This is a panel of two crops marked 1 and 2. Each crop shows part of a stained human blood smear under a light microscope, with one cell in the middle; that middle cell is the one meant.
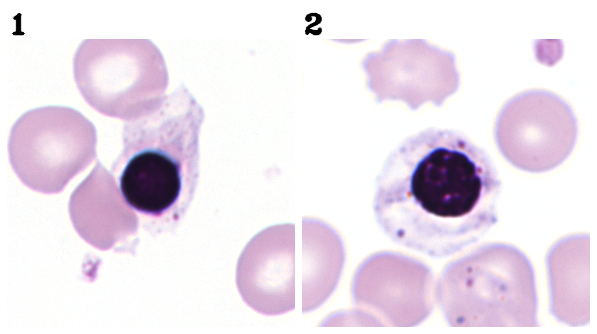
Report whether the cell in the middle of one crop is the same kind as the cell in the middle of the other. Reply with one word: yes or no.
yes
